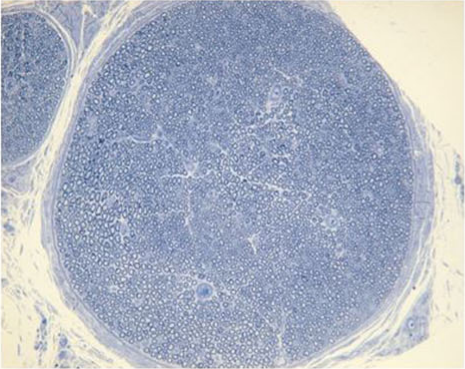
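A round bundle of axons is seen in cross-section, densely filled with small ring-shaped myelinated axon profiles stained blue. The bundle is enclosed by a continuous layered sheath of perineurium, with looser connective tissue outside it and part of a neighbouring bundle at the upper left. Only a few thin clefts cross the evenly packed axons.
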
